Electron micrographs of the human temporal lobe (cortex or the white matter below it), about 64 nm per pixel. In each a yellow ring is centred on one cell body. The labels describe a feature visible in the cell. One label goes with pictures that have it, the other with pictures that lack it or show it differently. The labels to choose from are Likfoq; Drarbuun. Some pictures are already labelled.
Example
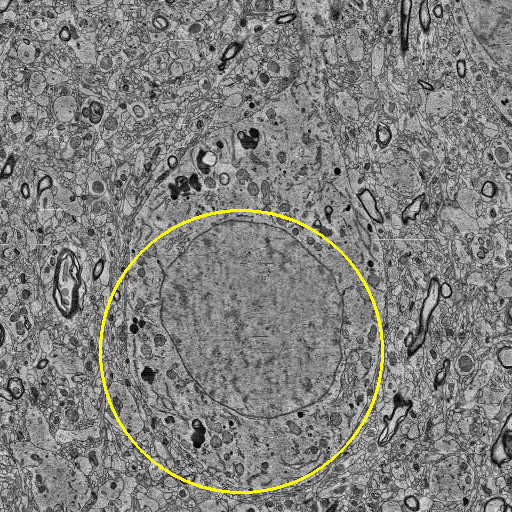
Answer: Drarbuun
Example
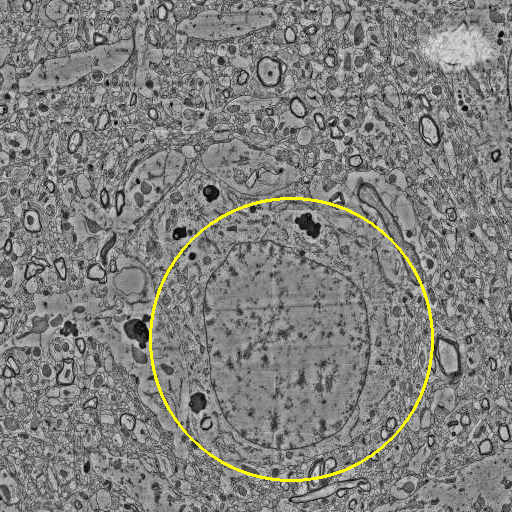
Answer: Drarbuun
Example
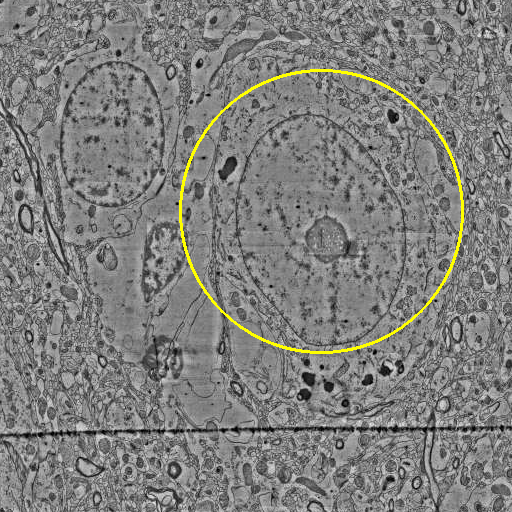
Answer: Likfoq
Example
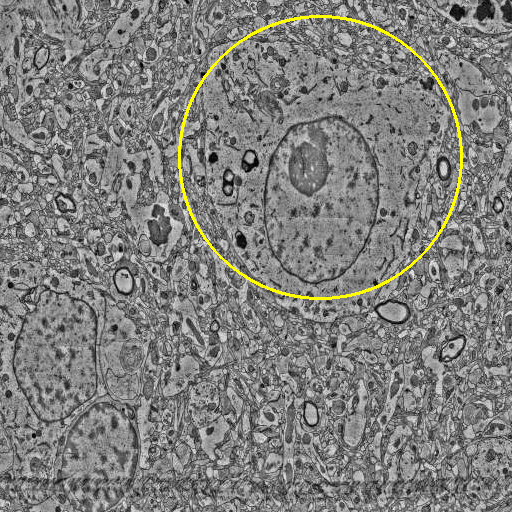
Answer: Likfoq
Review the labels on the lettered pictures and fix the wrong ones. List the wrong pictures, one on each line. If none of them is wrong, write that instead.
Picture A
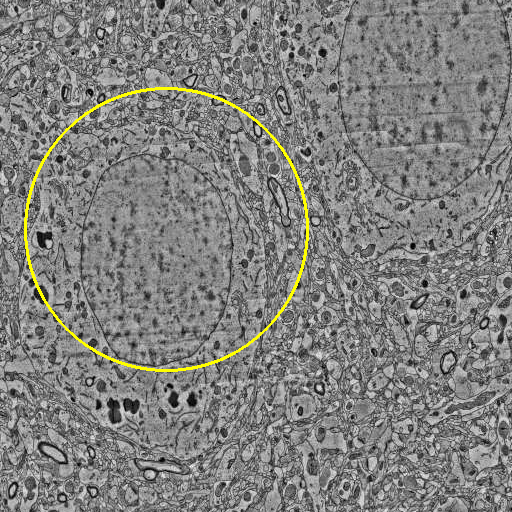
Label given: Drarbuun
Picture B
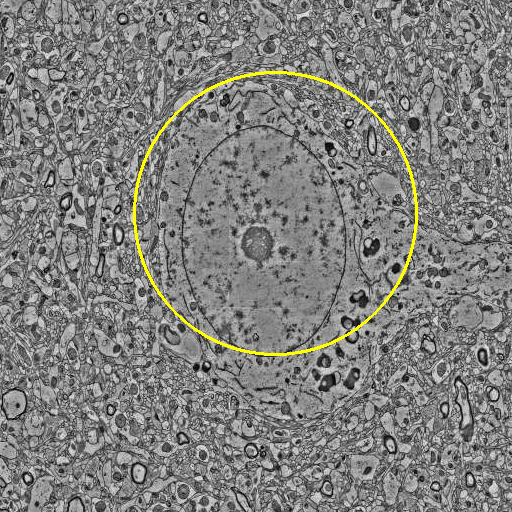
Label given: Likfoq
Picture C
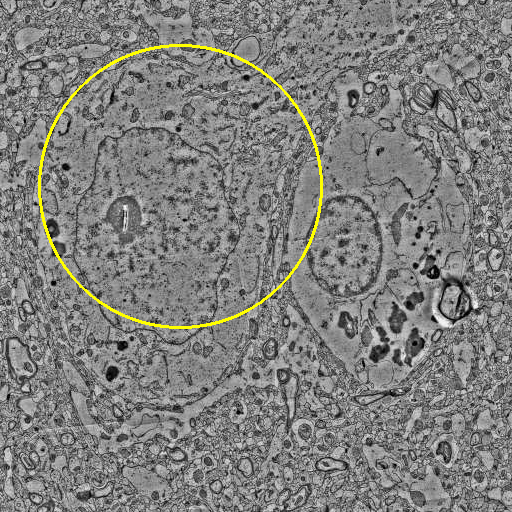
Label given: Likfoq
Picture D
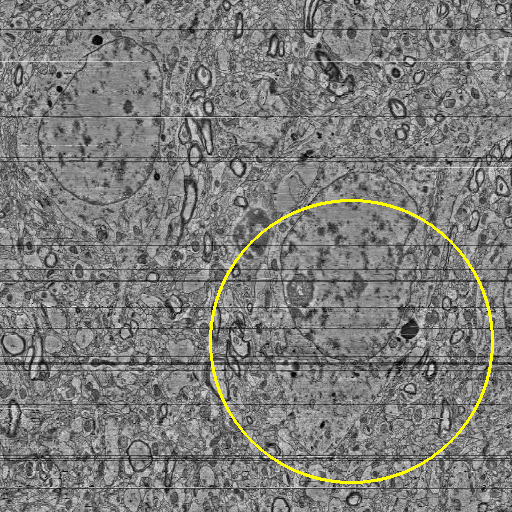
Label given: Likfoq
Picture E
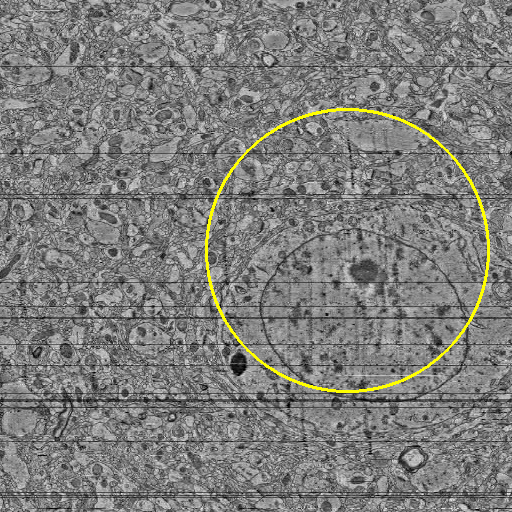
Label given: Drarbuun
E: not Drarbuun but Likfoq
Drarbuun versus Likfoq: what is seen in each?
In Drarbuun: no nucleolus seen. In Likfoq: nucleolus seen.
